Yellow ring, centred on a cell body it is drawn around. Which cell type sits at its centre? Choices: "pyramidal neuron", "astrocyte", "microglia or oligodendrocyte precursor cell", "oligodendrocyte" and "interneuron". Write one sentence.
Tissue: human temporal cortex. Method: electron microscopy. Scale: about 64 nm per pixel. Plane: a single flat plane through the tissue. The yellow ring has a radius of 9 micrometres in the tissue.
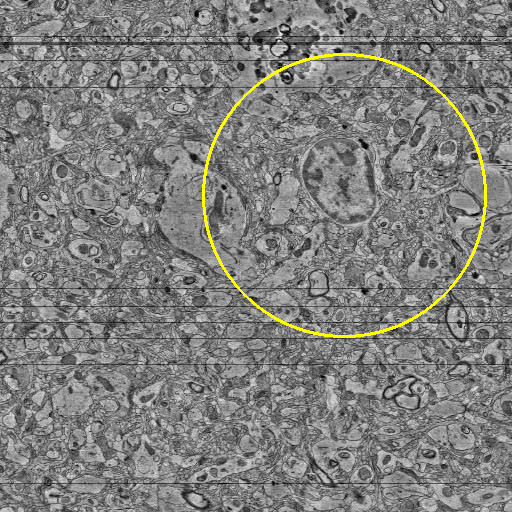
At the centre of the ring sits a microglial cell or oligodendrocyte precursor cell.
